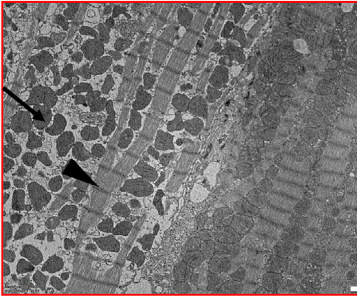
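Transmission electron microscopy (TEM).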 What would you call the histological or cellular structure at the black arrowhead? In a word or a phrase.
Z-line.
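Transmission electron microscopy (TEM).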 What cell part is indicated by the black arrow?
Mitochondria.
